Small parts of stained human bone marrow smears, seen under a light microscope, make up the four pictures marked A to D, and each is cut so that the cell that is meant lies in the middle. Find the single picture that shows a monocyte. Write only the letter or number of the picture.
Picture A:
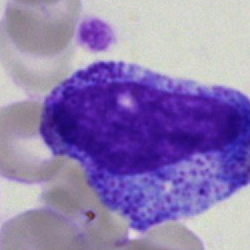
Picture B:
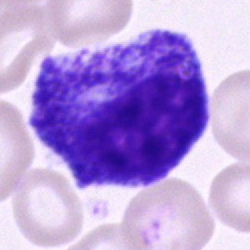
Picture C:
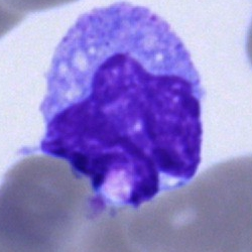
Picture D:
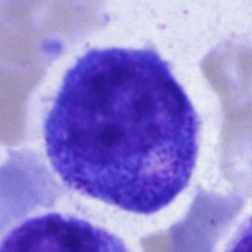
C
